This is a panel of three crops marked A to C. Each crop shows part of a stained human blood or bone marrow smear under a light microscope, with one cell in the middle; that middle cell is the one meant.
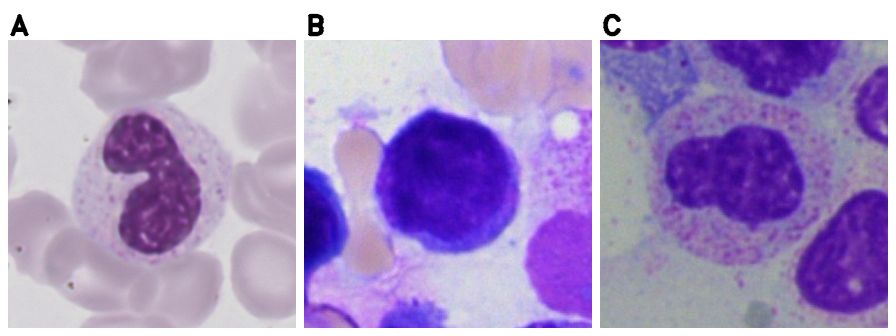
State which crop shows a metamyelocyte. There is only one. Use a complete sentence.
It is in crop C, among all the crops, that a metamyelocyte is present.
